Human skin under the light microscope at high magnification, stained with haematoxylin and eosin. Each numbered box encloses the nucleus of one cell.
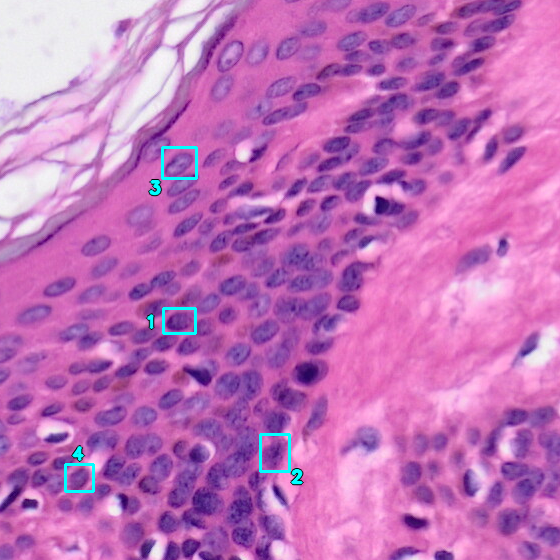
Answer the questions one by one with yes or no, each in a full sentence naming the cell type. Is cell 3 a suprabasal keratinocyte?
Yes, the cell indicated by number 3 is a suprabasal keratinocyte.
